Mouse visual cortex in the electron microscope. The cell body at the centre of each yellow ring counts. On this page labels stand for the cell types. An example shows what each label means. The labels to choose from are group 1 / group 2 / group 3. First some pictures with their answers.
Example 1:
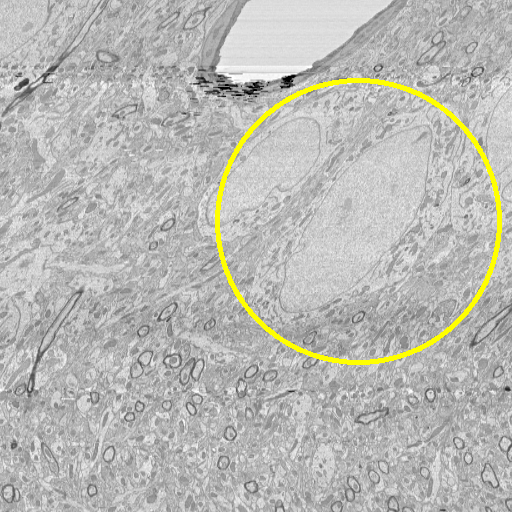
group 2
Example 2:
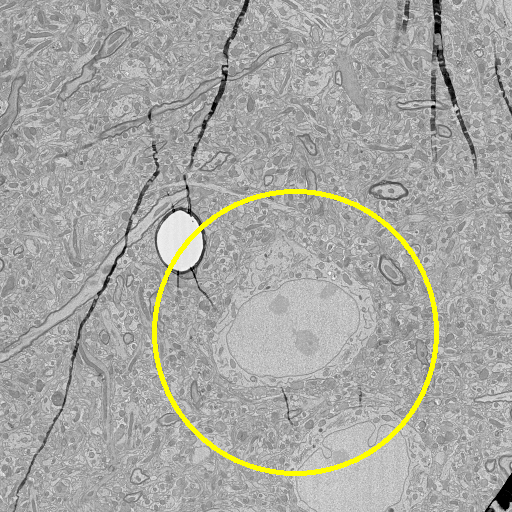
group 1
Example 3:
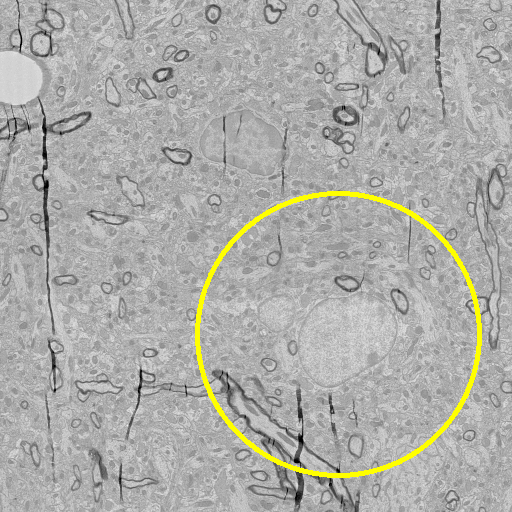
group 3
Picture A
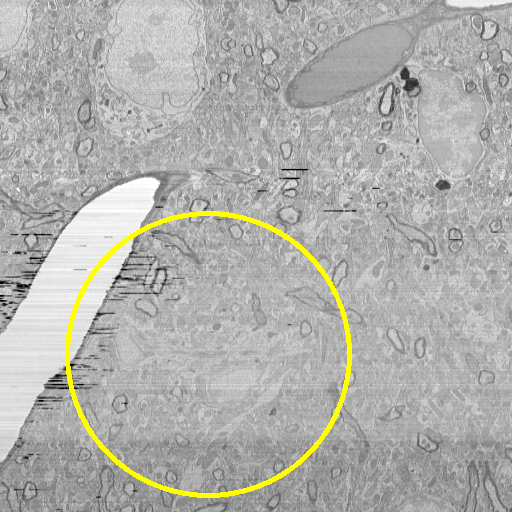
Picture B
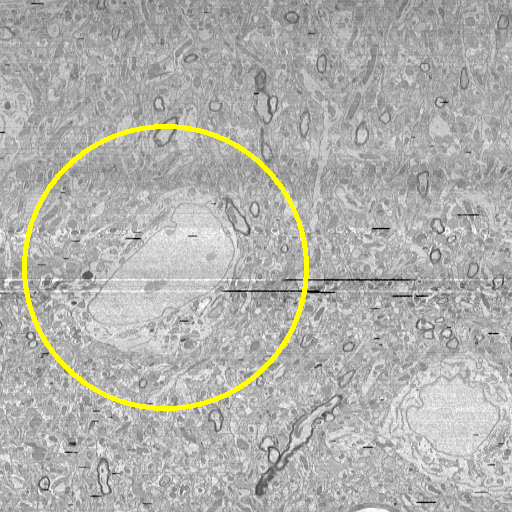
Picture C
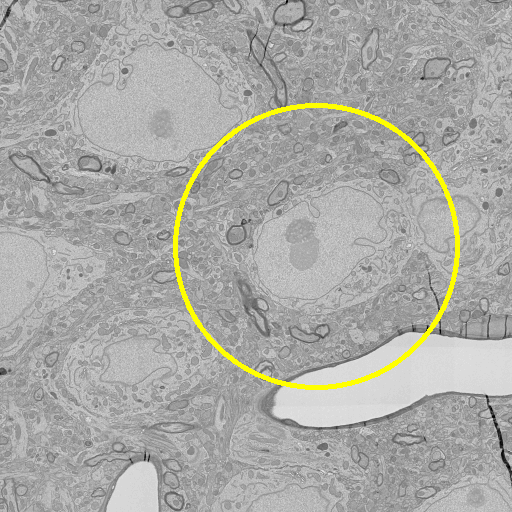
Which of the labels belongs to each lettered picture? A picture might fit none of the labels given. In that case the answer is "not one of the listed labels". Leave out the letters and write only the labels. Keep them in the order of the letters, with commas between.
not one of the listed labels, group 1, group 2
